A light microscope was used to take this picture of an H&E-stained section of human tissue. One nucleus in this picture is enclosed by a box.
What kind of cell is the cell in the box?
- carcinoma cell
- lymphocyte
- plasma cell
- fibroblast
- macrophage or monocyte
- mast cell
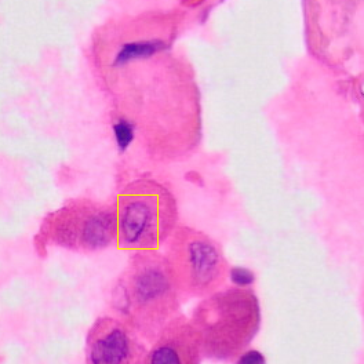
macrophage or monocyte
